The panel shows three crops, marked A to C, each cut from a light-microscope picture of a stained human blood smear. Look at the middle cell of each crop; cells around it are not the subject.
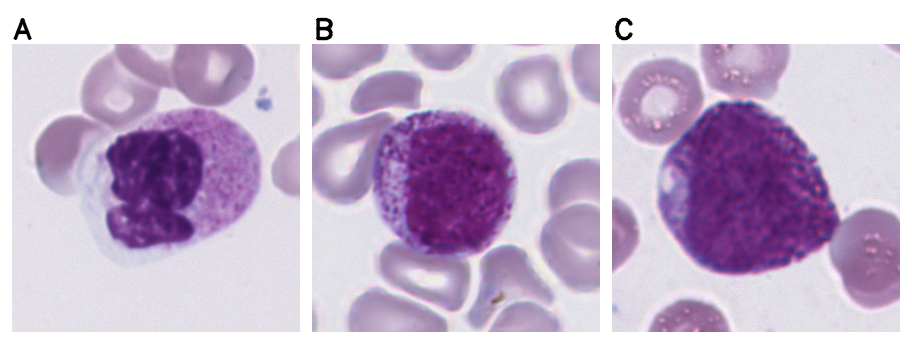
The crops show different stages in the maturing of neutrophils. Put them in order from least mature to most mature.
C, B, A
